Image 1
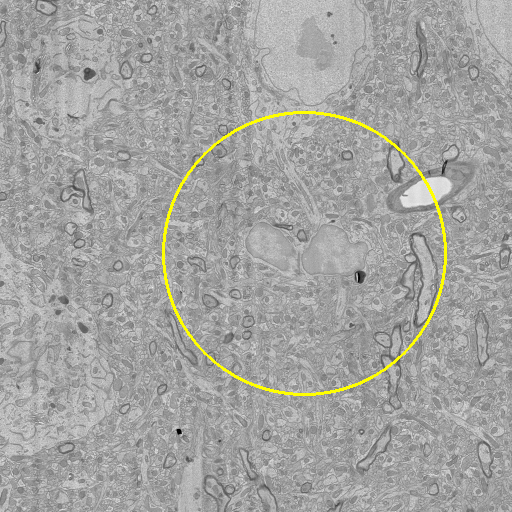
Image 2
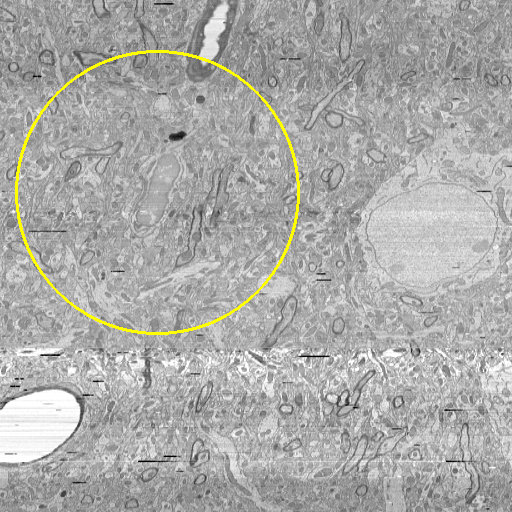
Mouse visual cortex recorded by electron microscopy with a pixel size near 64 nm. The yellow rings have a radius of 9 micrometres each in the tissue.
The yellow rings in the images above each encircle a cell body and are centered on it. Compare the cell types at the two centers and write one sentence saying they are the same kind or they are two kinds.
Taken together, the two cells at the ring centers are the same kind.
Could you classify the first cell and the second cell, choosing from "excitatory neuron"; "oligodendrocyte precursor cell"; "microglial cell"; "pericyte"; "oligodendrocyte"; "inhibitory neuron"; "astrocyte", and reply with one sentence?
Each of the two pictures has a microglial cell at the ring centre.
